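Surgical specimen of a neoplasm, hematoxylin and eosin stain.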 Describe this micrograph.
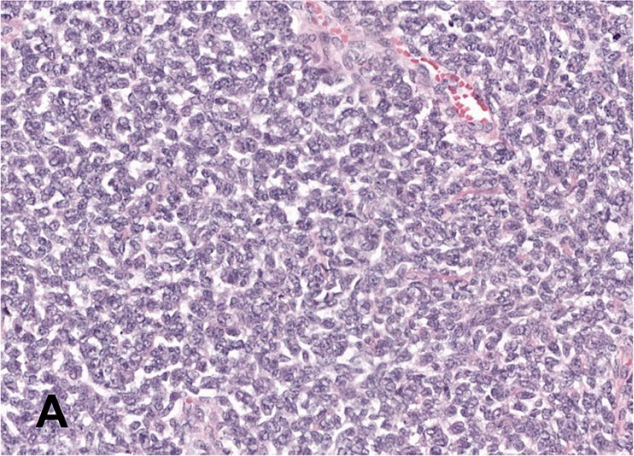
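The cells are tightly packed with little intervening stroma, apart from thin pink fibrovascular strands and a small blood vessel holding red blood cells near the top. Each cell has scant pale cytoplasm, so the purple nuclei dominate the field and almost touch one another. No glandular or other organised arrangement is seen.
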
